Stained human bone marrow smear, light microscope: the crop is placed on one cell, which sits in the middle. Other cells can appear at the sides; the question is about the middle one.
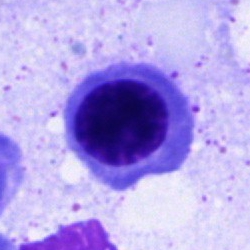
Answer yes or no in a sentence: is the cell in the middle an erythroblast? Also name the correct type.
Yes, the cell sitting in the middle of this smear crop is an erythroblast.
